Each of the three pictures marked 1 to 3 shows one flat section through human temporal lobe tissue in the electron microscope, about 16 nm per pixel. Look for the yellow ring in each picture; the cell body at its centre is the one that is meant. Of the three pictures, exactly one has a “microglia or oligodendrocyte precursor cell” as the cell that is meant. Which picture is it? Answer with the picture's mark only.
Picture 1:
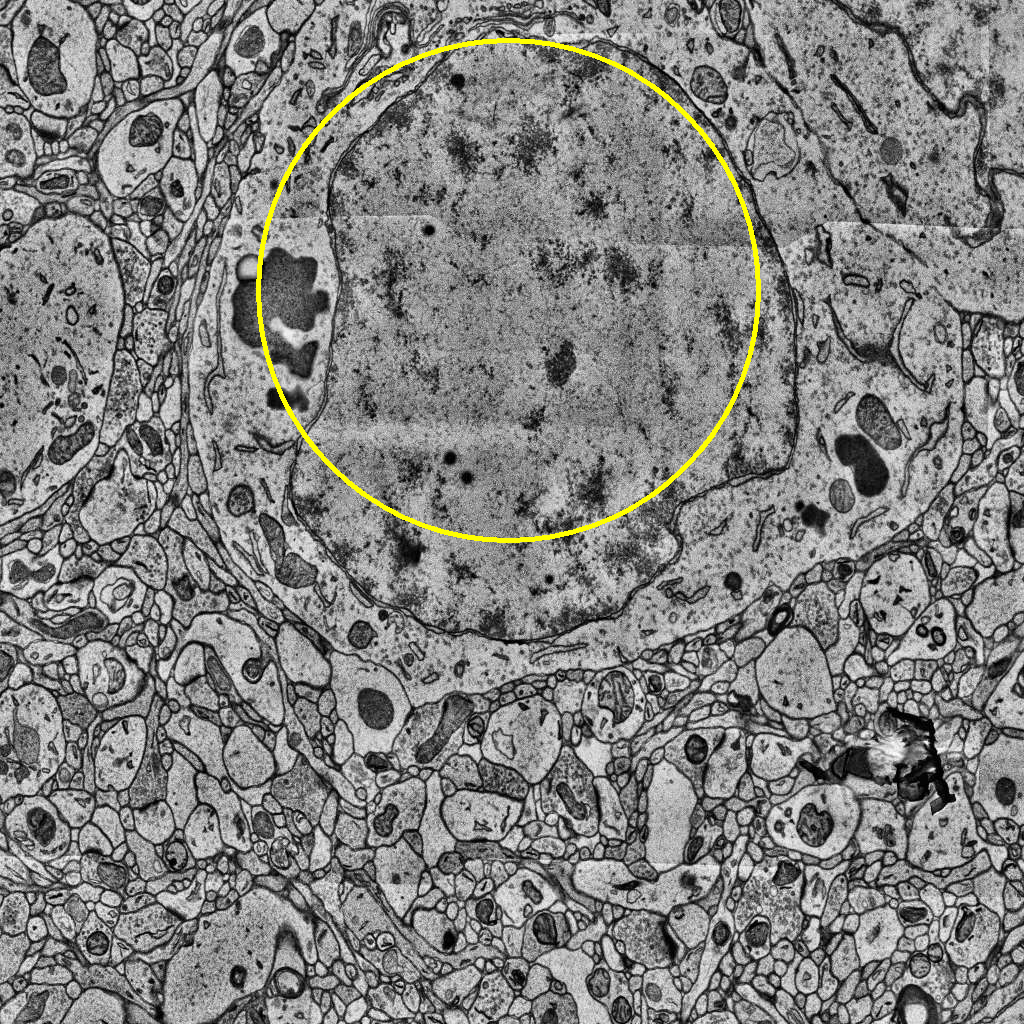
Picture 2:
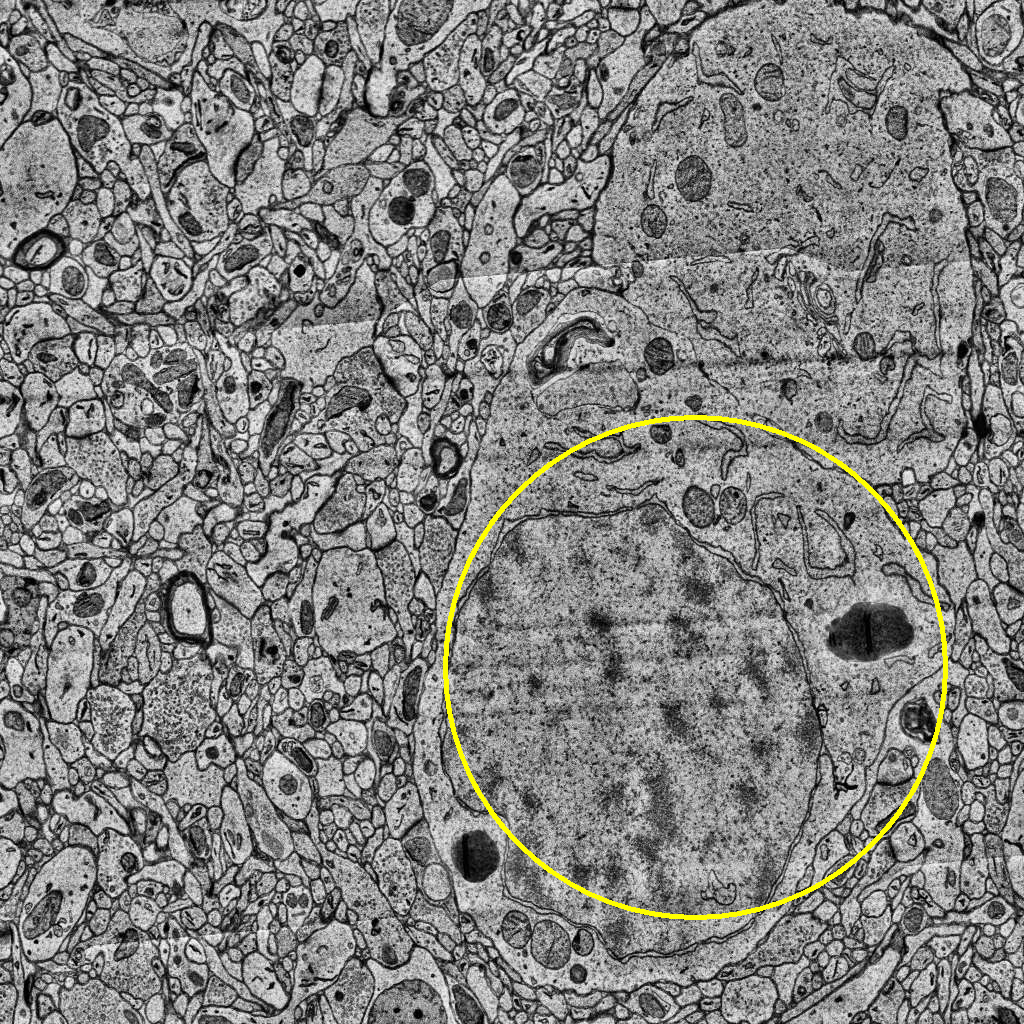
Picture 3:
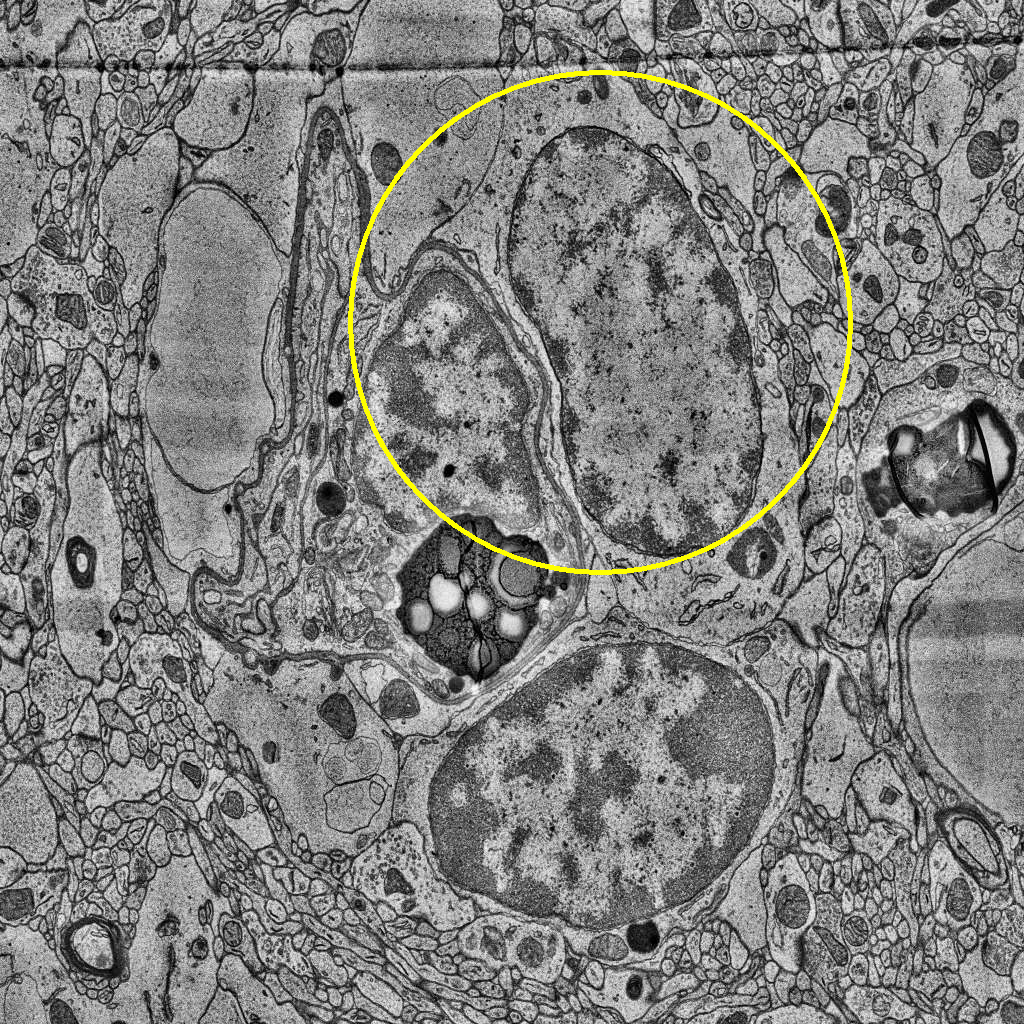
3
